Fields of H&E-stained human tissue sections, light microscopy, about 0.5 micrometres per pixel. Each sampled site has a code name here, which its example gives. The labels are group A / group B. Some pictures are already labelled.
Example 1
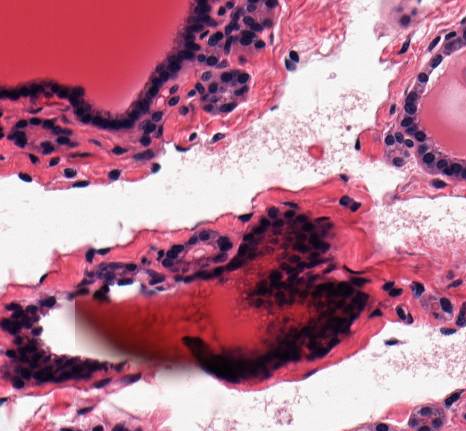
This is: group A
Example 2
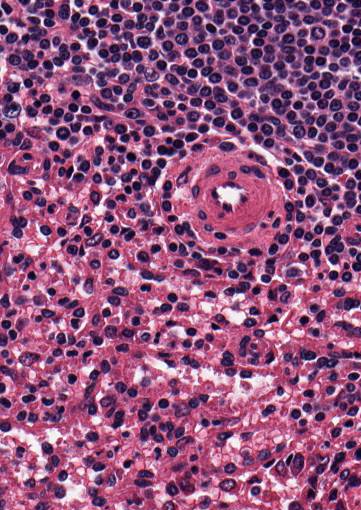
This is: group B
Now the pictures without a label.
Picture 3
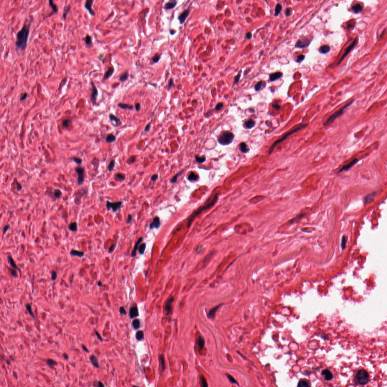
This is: group B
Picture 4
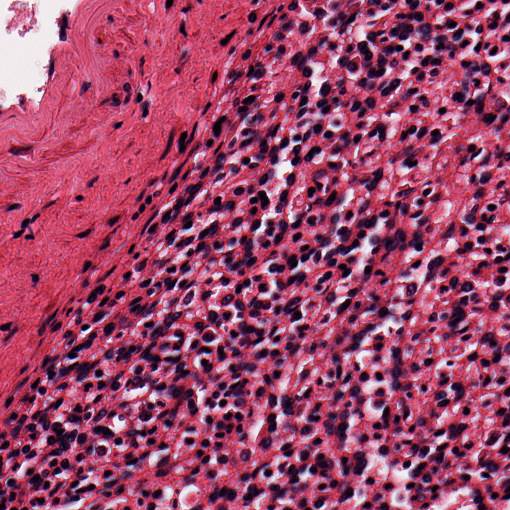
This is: group B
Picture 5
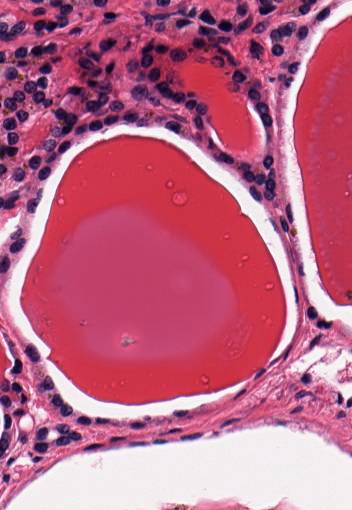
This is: group A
